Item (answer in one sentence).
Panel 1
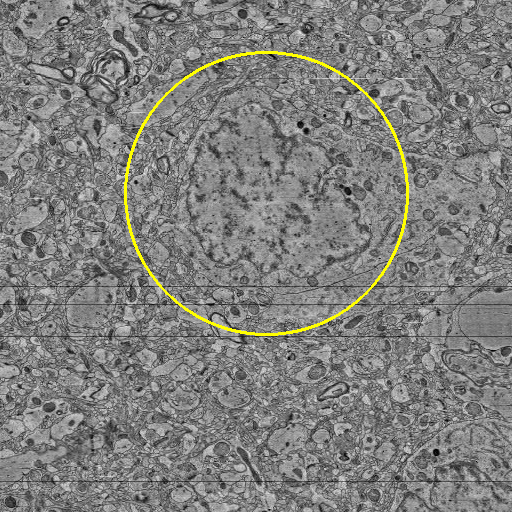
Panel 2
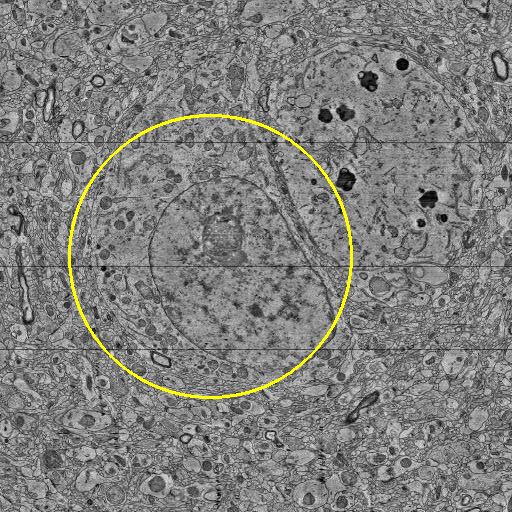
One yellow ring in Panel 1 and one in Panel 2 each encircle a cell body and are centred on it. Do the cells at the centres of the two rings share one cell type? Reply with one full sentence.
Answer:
Yes, Panel 1 and Panel 2 show cells of one type at the centres of their rings.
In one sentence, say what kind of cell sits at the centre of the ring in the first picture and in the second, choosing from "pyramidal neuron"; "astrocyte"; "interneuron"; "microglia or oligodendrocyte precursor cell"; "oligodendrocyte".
The first and the second cell are each an interneuron.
